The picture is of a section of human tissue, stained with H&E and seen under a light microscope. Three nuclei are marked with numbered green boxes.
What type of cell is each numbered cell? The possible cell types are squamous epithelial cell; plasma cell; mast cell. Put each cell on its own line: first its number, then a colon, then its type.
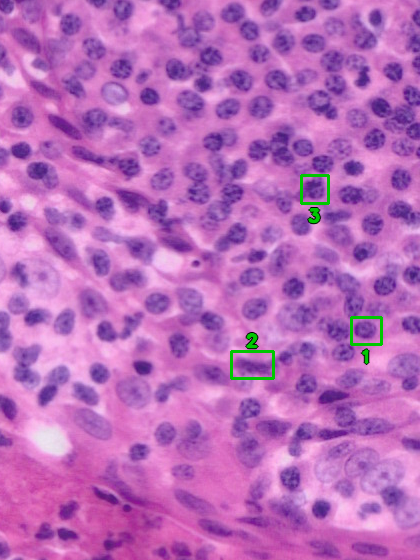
1: plasma cell
2: squamous epithelial cell
3: plasma cell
